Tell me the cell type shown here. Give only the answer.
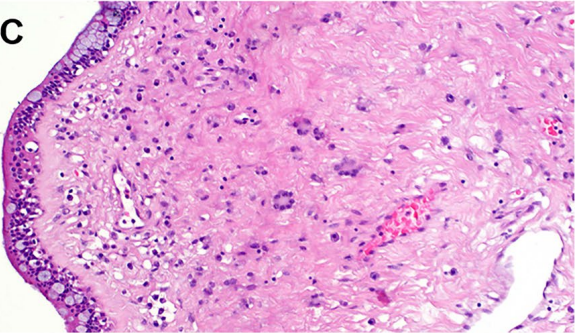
Multinucleated stromal giant cells.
